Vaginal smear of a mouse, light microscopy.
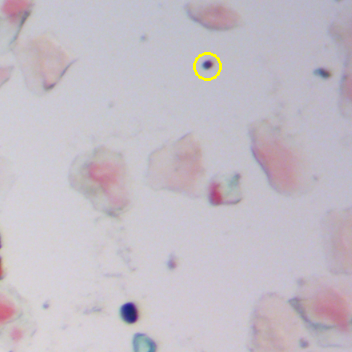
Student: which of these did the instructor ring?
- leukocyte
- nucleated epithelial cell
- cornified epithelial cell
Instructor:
The cell I ringed is a leukocyte.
